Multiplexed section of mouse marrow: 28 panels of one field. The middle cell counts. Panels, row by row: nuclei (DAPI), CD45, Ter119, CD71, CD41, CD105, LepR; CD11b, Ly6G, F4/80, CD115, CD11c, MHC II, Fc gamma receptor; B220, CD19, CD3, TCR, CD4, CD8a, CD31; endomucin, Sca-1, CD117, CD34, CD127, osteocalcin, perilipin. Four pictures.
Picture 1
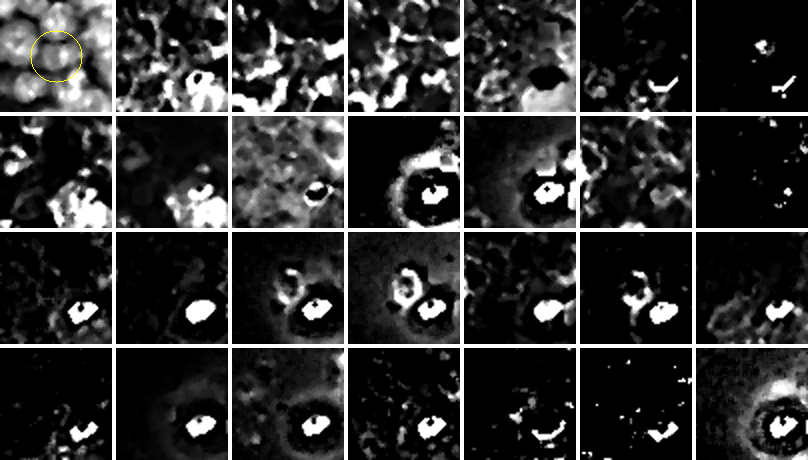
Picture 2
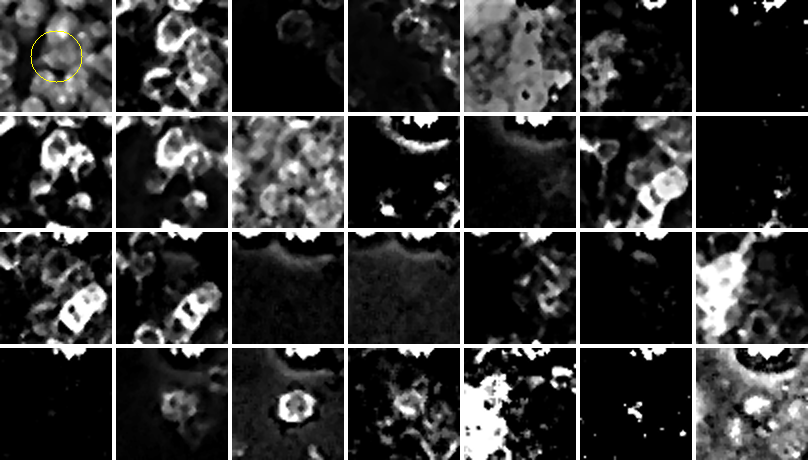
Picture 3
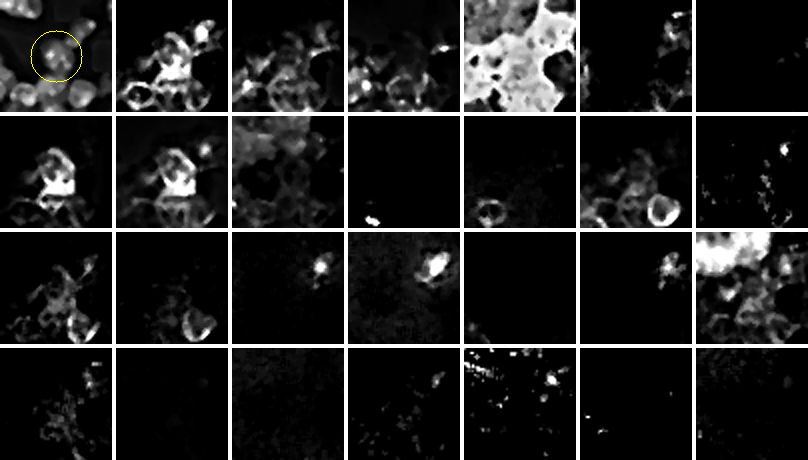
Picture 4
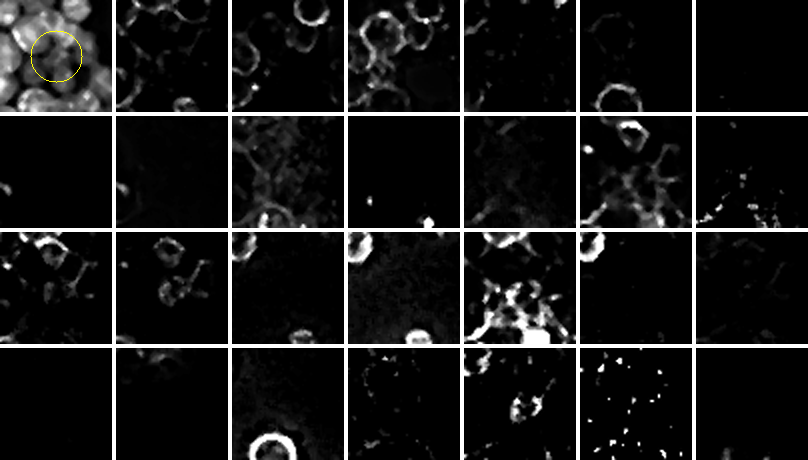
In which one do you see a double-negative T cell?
In picture 1.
